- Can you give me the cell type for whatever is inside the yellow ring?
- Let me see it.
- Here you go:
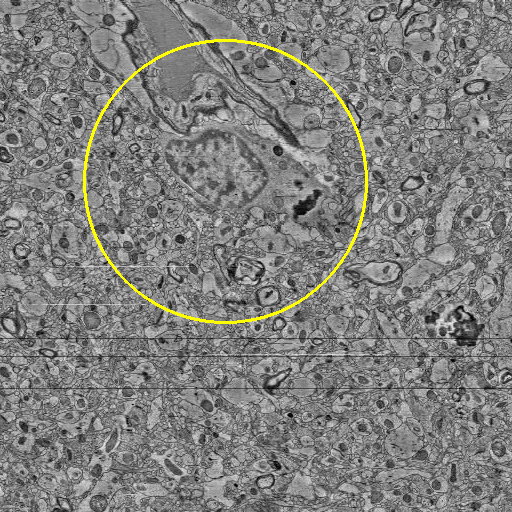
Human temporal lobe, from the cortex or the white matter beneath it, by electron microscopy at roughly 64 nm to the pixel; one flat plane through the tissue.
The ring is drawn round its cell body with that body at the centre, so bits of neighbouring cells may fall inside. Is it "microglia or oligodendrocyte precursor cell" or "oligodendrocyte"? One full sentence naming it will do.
The cell body in the middle of the ring in this picture belongs to an oligodendrocyte.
